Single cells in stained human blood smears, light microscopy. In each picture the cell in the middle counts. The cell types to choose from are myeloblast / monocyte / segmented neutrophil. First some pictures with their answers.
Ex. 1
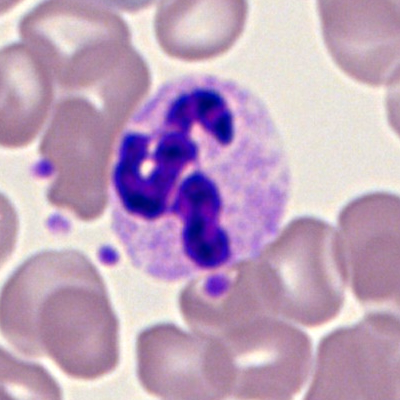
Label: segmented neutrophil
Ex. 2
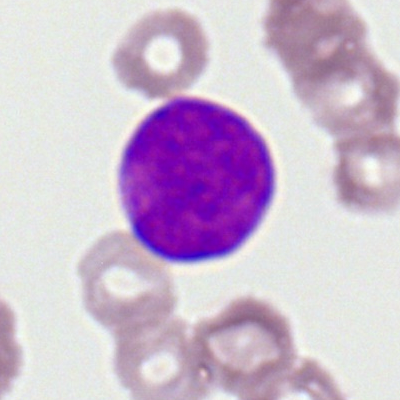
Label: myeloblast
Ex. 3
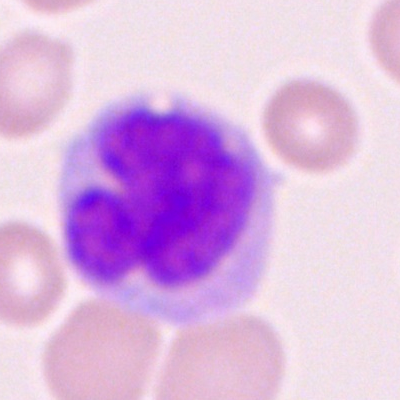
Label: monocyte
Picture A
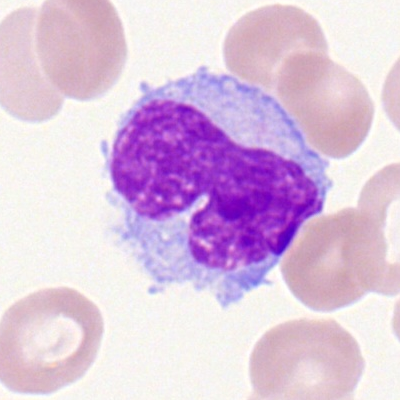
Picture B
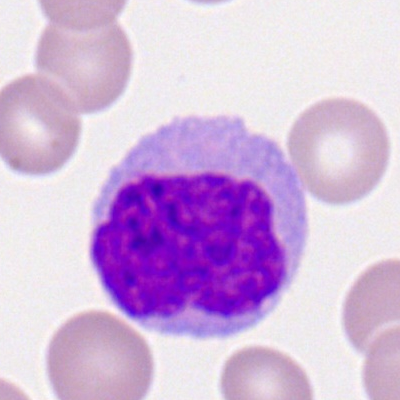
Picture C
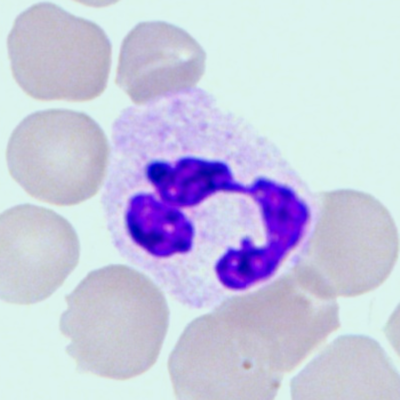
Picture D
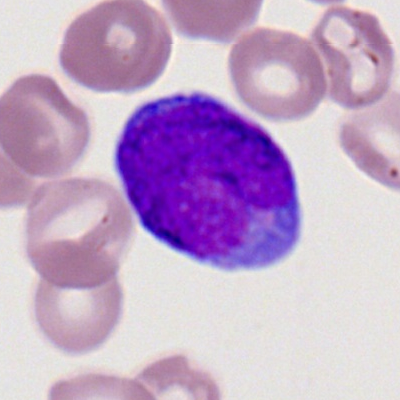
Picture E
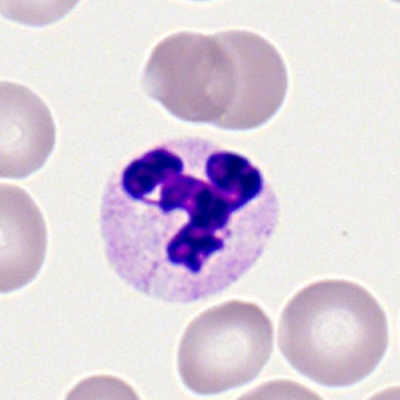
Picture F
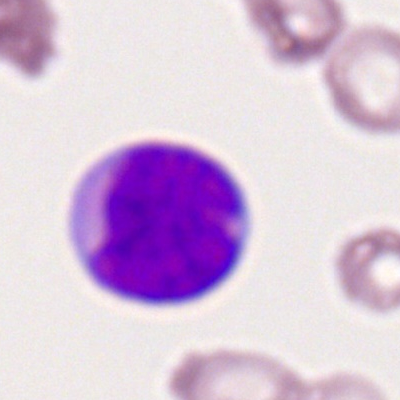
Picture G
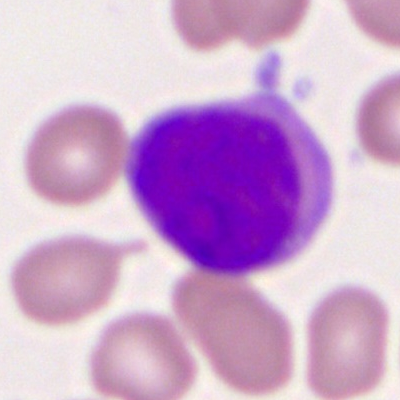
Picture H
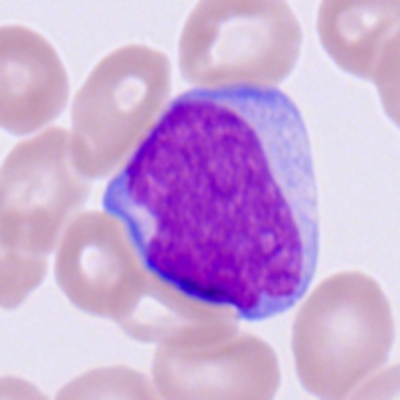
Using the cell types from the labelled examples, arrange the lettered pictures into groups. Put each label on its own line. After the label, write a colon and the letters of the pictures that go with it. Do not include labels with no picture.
myeloblast: D, F, G, H
monocyte: A, B
segmented neutrophil: C, E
